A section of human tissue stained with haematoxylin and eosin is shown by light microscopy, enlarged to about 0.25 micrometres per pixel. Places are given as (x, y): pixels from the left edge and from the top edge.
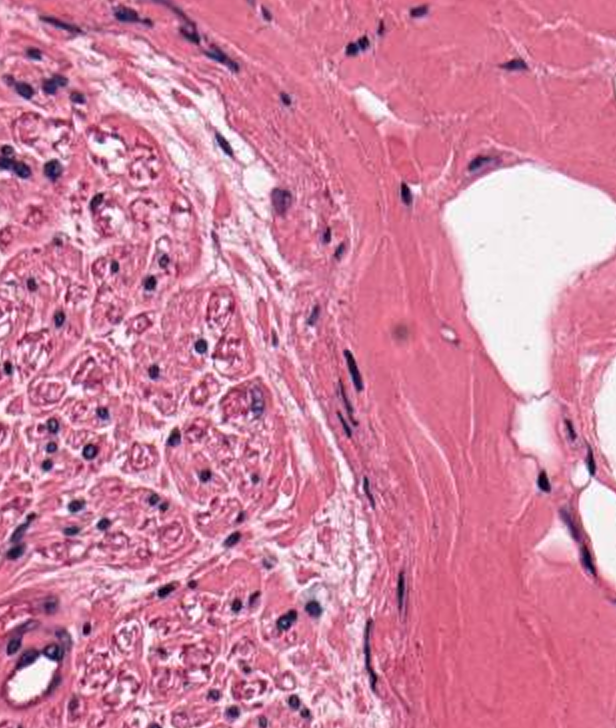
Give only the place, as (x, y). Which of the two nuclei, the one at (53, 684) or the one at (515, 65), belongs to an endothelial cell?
(53, 684)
